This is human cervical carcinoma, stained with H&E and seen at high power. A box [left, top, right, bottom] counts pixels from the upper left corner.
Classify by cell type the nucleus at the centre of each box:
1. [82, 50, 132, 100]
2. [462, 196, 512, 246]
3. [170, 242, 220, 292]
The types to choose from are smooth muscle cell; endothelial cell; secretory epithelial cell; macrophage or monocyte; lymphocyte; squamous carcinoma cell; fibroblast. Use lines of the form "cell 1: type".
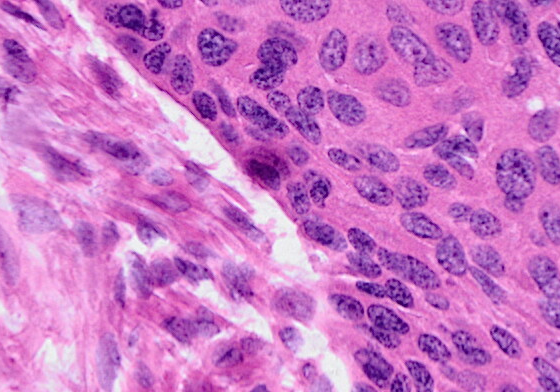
cell 1: fibroblast
cell 2: squamous carcinoma cell
cell 3: fibroblast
